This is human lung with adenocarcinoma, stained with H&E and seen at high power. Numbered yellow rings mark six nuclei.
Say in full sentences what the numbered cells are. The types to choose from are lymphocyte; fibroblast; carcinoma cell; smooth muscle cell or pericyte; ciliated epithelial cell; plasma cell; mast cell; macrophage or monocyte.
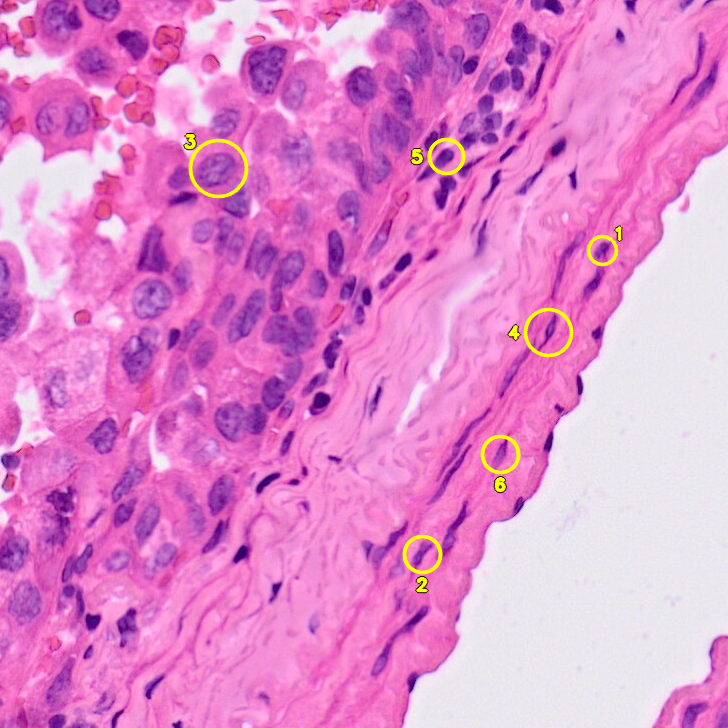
Cells 1, 2, 4 and 6 are smooth muscle cells or pericytes. Cell 3 is a carcinoma cell. Cell 5 is a lymphocyte.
